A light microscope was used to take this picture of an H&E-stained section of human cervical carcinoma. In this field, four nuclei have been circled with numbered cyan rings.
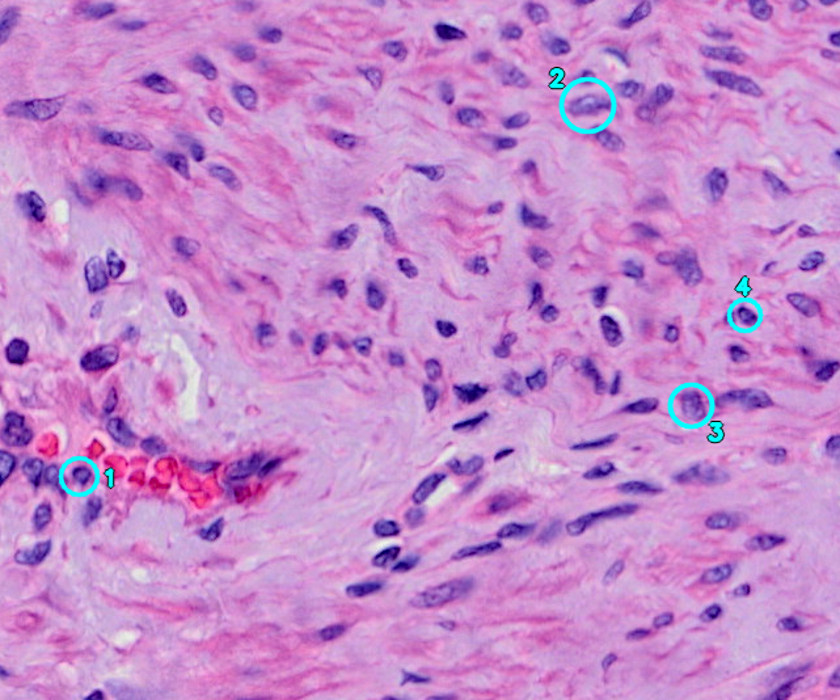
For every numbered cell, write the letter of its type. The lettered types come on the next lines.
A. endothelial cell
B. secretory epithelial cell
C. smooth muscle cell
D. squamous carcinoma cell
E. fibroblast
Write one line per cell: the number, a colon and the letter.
1: A
2: C
3: C
4: C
